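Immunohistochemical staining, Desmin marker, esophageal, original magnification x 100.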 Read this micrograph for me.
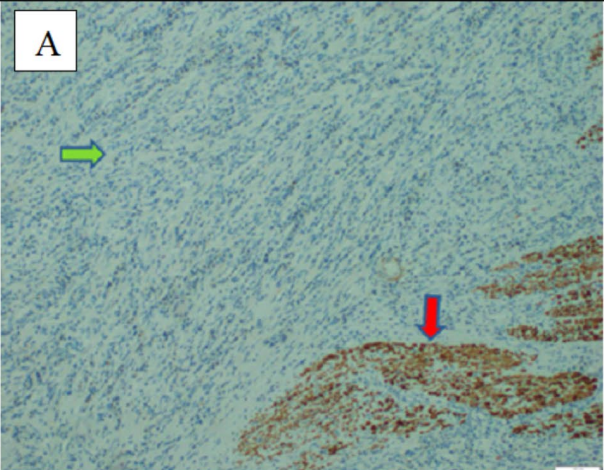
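This low-power view shows a fibrous proliferative stroma beside bundles of smooth muscle fibres of the wall. Most of the field is filled by spindle-shaped cells with small, elongated blue nuclei, lying in long streaming fascicles that run obliquely across the picture. This stromal area takes up no brown stain at all. In the lower right corner, by contrast, bands of fibres are stained brown, forming bundles separated by narrow strips of pale unstained stroma. The sharp border between the brown bundles and the blue spindle-cell area is easy to follow.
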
